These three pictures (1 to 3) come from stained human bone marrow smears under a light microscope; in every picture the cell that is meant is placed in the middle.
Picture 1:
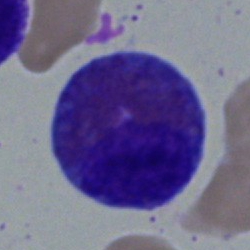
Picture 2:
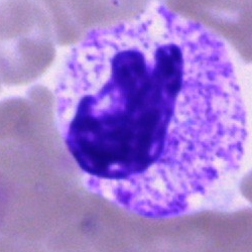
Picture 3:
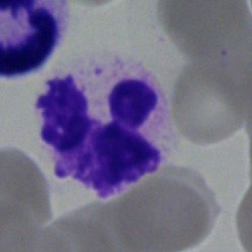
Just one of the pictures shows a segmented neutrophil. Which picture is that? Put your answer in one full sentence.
The segmented neutrophil is the one in picture 2.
